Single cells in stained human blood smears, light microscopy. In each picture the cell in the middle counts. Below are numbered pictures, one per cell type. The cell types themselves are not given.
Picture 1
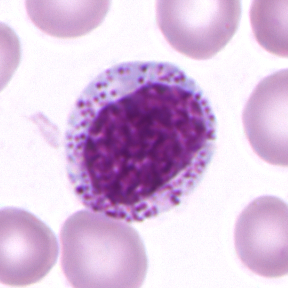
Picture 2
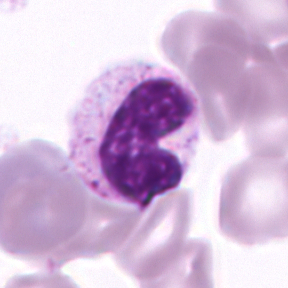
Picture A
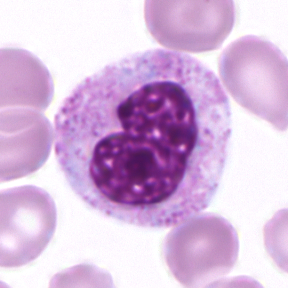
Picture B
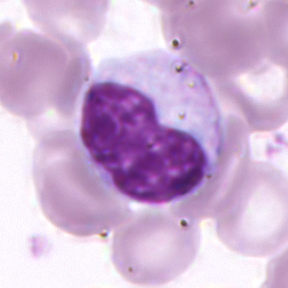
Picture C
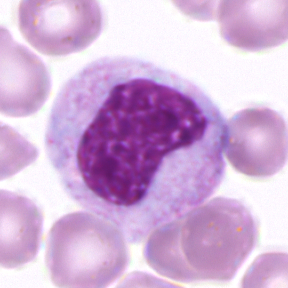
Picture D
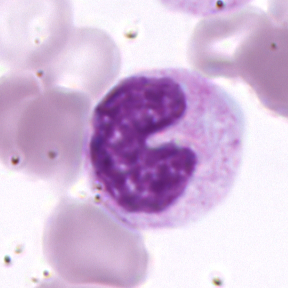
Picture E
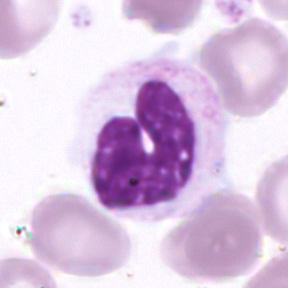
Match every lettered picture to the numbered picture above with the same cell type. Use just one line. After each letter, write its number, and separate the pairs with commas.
A 2, B 1, C 1, D 2, E 2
